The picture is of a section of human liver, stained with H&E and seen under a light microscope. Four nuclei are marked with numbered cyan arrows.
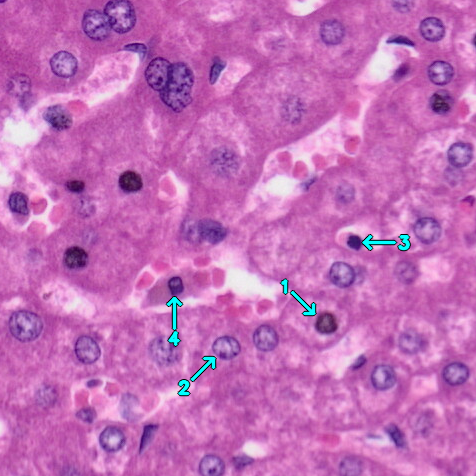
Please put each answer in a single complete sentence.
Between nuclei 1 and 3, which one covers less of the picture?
Number 3 is smaller, since number 1 takes up about 2 times as much area.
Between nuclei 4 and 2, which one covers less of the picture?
Nucleus 4 covers less area, with nucleus 2 about 2 times as large.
